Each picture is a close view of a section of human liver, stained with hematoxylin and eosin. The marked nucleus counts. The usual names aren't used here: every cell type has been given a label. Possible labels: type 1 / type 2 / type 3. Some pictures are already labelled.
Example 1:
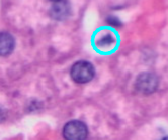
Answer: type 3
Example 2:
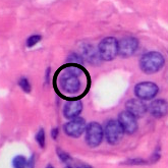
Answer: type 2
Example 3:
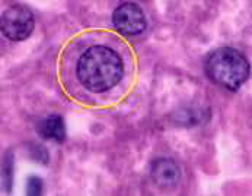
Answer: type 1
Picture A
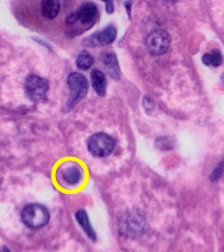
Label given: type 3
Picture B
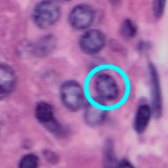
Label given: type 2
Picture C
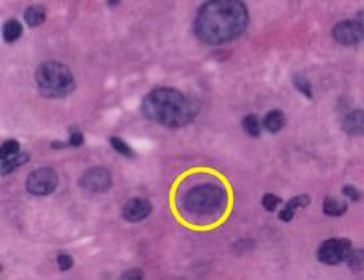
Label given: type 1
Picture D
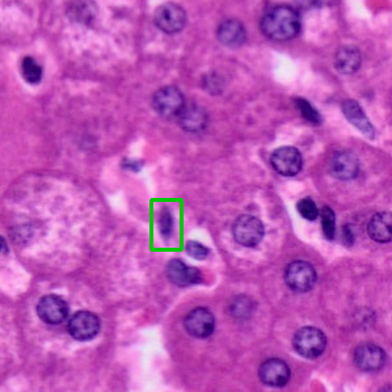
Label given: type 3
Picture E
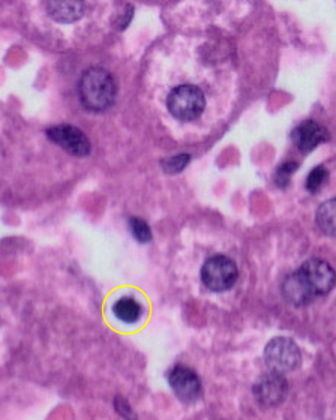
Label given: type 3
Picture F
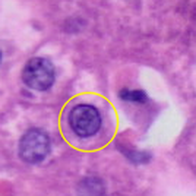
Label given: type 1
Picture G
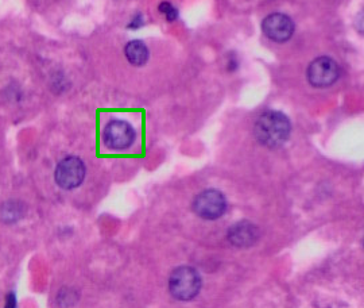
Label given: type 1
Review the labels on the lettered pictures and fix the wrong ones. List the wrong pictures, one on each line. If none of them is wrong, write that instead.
None of the labels needs changing.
